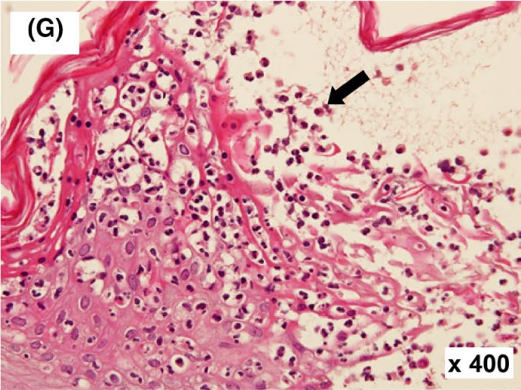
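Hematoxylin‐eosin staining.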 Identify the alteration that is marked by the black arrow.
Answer: Neutrophilic infiltration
